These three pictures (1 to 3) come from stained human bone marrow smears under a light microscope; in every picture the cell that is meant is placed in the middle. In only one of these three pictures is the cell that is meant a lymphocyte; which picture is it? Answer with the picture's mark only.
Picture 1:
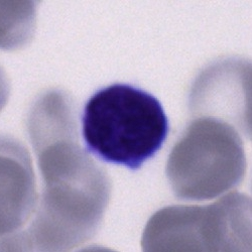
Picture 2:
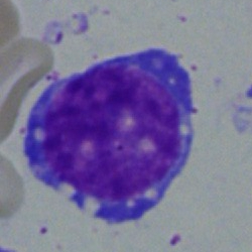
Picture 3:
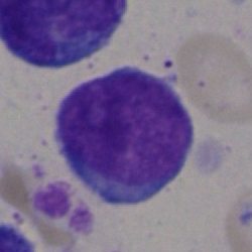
1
